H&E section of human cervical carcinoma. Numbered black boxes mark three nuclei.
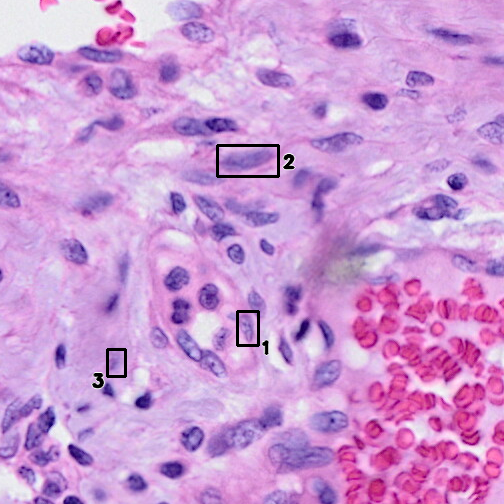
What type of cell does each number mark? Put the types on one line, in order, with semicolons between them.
endothelial cell; fibroblast; fibroblast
